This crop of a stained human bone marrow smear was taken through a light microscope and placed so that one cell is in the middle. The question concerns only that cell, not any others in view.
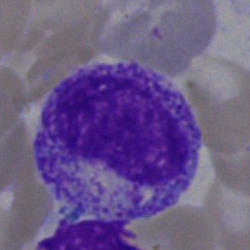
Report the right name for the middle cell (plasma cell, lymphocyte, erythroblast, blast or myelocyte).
myelocyte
